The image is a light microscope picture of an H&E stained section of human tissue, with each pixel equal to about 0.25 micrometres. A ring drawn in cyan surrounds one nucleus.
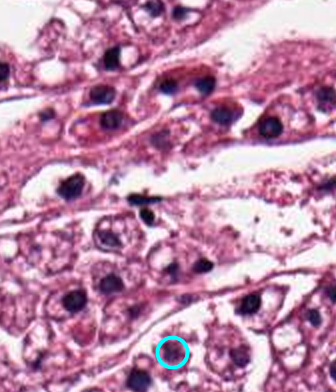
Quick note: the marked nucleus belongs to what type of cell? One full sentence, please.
The marked nucleus belongs, in this picture, to an adrenal cortical cell.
